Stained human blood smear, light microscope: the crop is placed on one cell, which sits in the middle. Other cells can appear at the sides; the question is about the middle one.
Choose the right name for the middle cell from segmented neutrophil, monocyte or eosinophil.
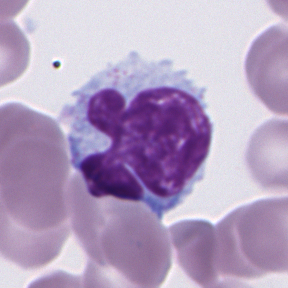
monocyte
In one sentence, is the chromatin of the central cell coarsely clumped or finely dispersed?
The chromatin is delicate and fine, lacking coarse clumping entirely.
